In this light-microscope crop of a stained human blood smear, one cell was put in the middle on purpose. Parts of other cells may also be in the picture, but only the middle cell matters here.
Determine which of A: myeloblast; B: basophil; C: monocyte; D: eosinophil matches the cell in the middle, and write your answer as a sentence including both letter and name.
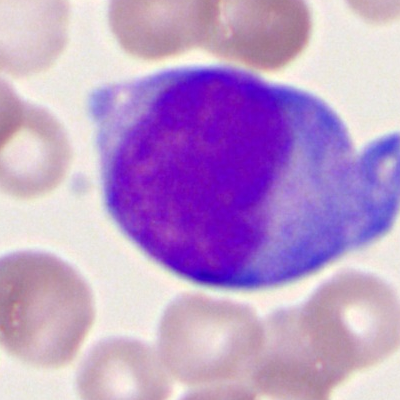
In the centre of the crop there is a myeloblast, making option A correct.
